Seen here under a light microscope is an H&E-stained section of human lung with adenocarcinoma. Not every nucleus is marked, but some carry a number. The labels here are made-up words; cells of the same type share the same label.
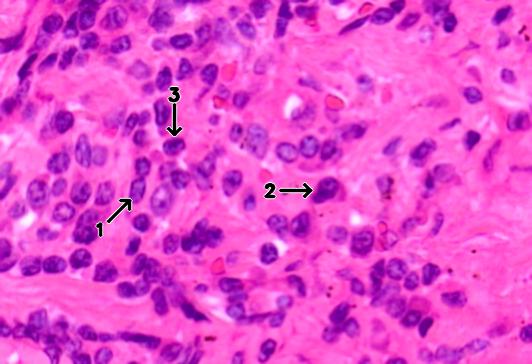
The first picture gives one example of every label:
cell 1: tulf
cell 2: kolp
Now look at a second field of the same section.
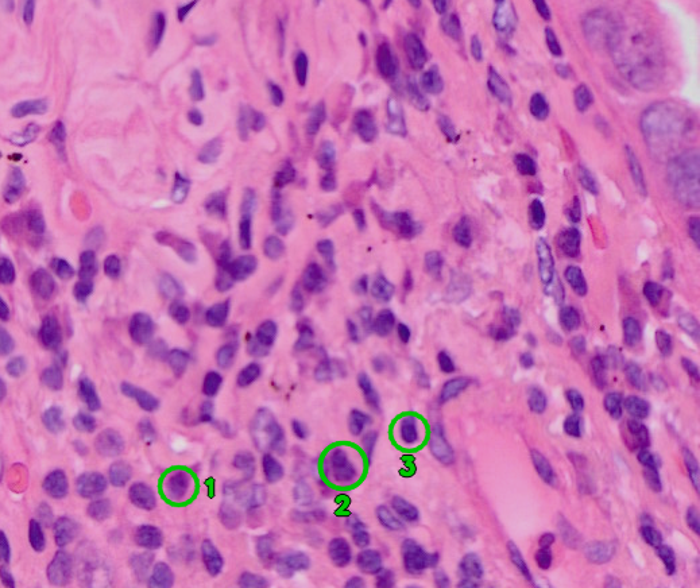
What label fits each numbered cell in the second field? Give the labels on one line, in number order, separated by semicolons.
kolp; kolp; tulf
